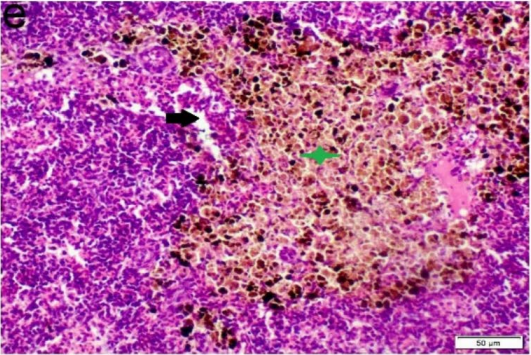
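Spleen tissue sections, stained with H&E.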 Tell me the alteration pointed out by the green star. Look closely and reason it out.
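A large cluster of cells laden with brown to black pigment lies at the green star. So: melanomacrophage center activation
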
